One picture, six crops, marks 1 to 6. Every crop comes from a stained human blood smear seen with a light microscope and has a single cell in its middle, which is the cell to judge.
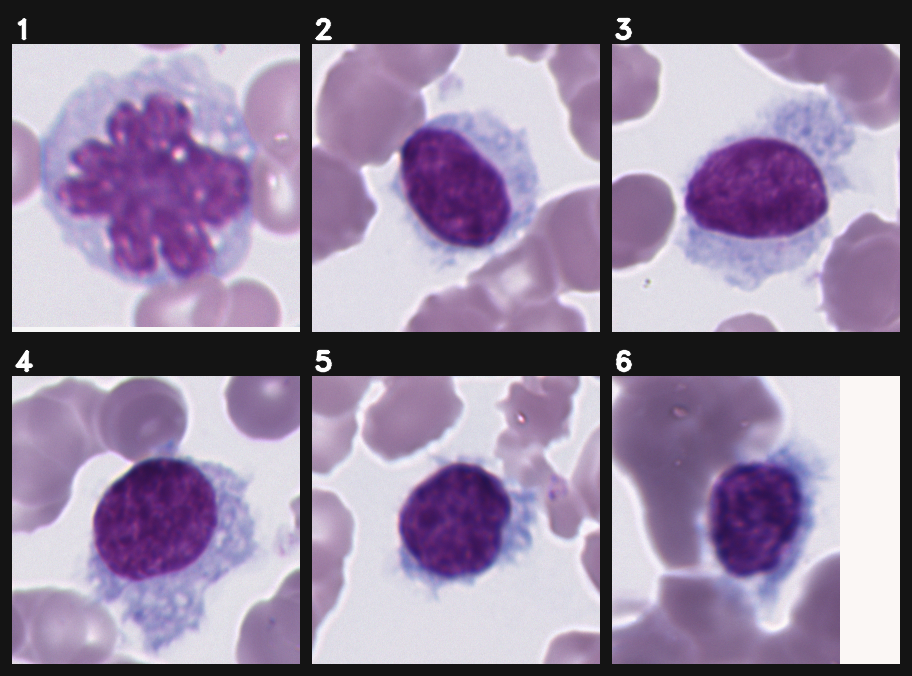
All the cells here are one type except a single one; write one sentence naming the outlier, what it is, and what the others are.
Shown in crop 1 is a monocyte, in contrast to the hairy cells of all the other crops.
